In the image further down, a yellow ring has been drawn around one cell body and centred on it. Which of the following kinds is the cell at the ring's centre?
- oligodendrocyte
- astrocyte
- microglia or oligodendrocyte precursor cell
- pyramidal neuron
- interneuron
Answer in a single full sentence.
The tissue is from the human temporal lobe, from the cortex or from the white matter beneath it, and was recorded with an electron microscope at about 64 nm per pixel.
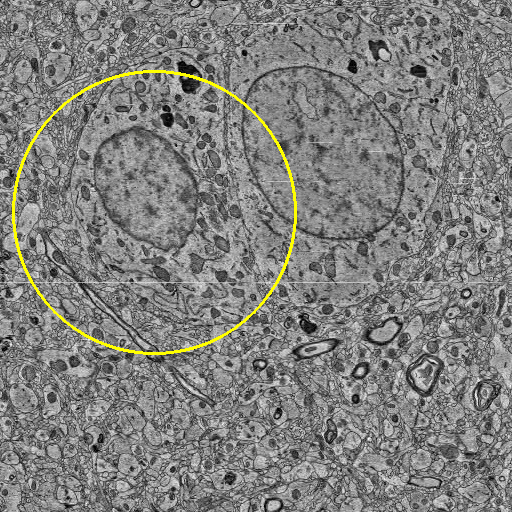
In the picture, the cell sitting at the centre of the yellow ring is an interneuron.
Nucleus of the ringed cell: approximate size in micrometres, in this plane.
In this plane the nucleus measures roughly 8 by 6 micrometers.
